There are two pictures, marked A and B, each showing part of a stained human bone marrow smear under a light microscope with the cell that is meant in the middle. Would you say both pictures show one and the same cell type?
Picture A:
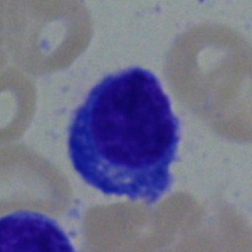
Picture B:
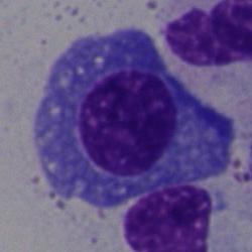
yes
